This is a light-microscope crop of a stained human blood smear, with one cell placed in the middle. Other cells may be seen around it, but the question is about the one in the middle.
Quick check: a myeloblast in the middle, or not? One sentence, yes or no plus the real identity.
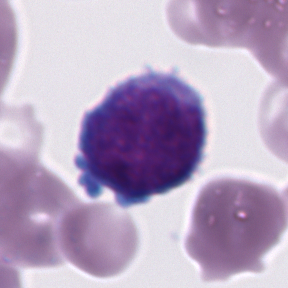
Yes, the middle cell here is a myeloblast.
